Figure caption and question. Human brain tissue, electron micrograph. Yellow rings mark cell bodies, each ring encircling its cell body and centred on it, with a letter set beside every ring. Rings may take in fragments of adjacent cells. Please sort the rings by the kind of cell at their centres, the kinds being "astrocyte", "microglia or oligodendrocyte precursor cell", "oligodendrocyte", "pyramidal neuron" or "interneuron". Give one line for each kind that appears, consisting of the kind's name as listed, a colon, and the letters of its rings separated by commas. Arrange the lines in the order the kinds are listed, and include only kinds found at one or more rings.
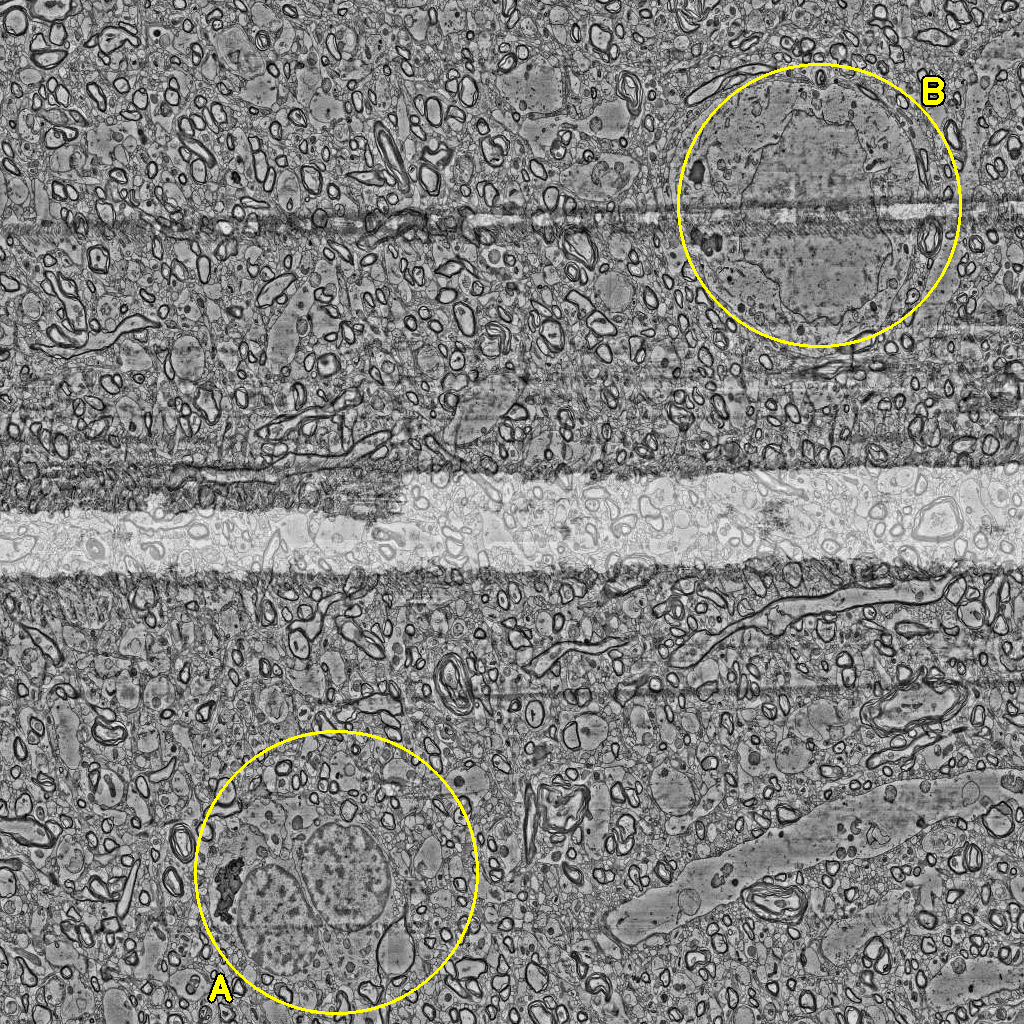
oligodendrocyte: A
pyramidal neuron: B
